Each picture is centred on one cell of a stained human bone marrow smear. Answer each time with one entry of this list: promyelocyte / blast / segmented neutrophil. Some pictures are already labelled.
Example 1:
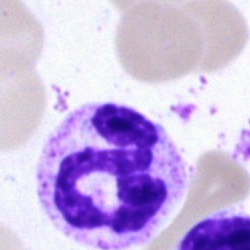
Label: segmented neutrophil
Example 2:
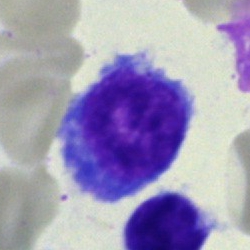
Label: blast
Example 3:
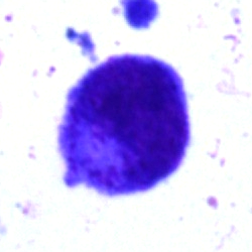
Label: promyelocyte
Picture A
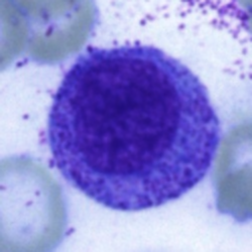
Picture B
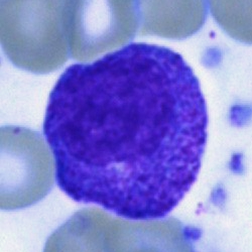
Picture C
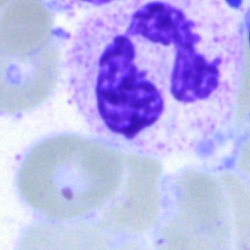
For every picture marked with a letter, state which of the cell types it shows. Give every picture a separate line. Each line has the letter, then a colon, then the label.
A: promyelocyte
B: promyelocyte
C: segmented neutrophil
